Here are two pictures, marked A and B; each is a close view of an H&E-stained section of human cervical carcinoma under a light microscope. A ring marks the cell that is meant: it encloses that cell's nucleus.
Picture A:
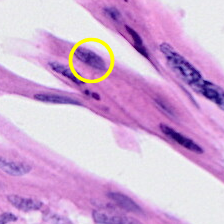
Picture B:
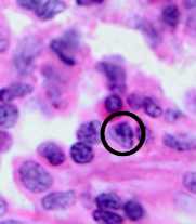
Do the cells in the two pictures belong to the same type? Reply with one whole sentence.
No; the cell in picture A is a squamous carcinoma cell, while the one in picture B is a lymphocyte.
